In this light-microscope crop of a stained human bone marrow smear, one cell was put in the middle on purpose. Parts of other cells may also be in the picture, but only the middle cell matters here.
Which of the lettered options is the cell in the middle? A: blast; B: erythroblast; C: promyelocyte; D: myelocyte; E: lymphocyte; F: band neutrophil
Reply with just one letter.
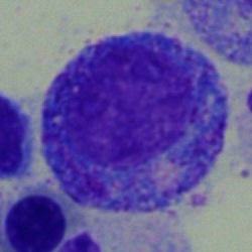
C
